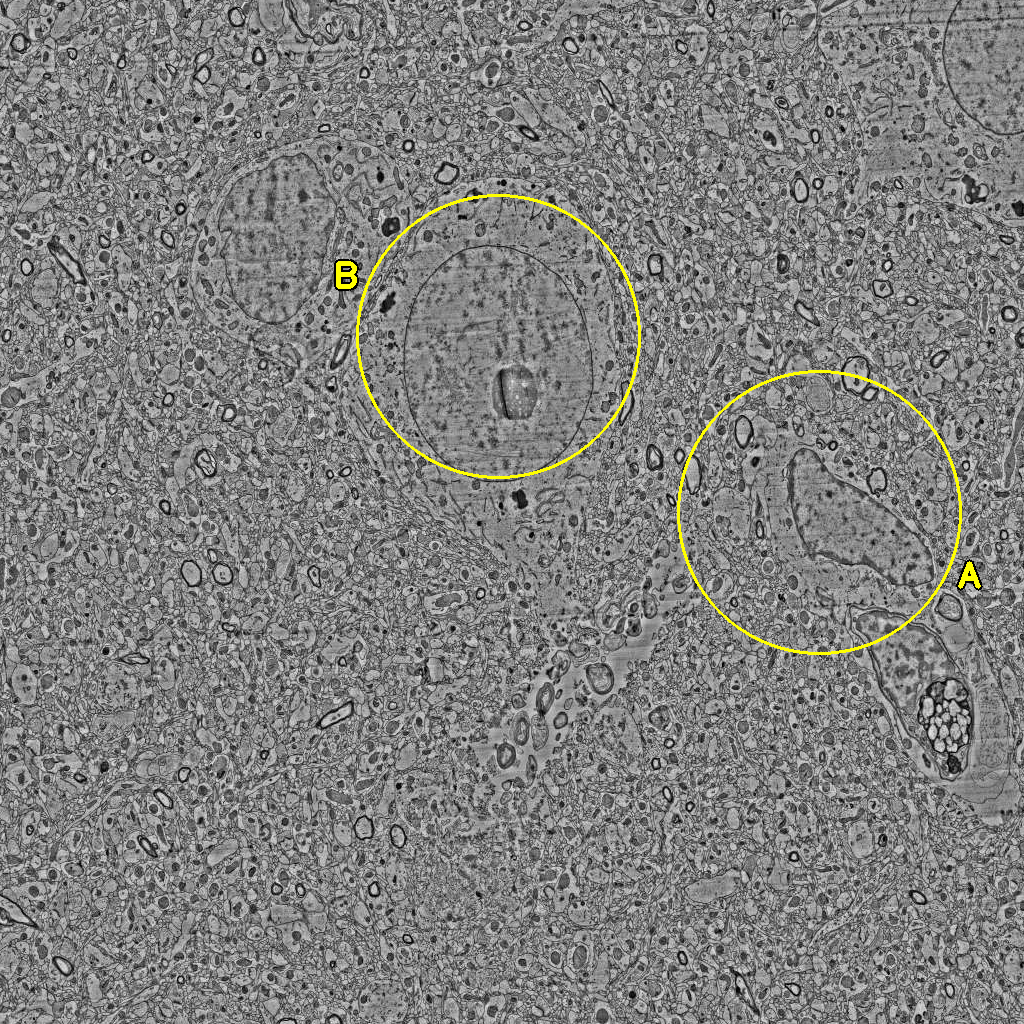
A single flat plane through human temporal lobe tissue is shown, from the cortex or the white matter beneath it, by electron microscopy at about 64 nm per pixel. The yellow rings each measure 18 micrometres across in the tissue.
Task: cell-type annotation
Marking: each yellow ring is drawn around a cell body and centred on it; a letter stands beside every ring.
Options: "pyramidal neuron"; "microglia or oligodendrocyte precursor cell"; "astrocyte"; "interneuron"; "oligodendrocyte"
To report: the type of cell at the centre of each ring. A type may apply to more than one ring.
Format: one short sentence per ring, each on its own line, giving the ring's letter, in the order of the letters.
Ring A is centred on a microglial cell or oligodendrocyte precursor cell.
Ring B is centred on a pyramidal neuron.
